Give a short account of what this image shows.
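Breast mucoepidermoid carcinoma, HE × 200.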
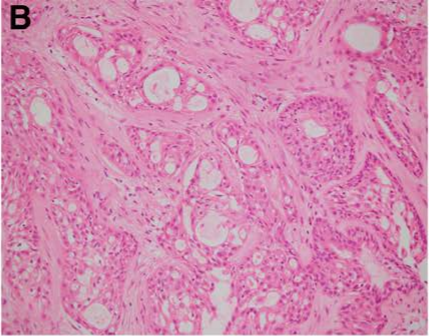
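This is a tumour of mucoid cells and polygonal cells arranged in nests within pink fibrous stroma. Inside the nests, clear mucus-filled cells and small cystic spaces alternate with groups of polygonal cells. The polygonal cells have pink cytoplasm and small dark nuclei. The mucoid cells appear pale and vacuolated, with their contents cleared. Bands of collagenous stroma containing spindle-shaped nuclei separate the nests.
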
